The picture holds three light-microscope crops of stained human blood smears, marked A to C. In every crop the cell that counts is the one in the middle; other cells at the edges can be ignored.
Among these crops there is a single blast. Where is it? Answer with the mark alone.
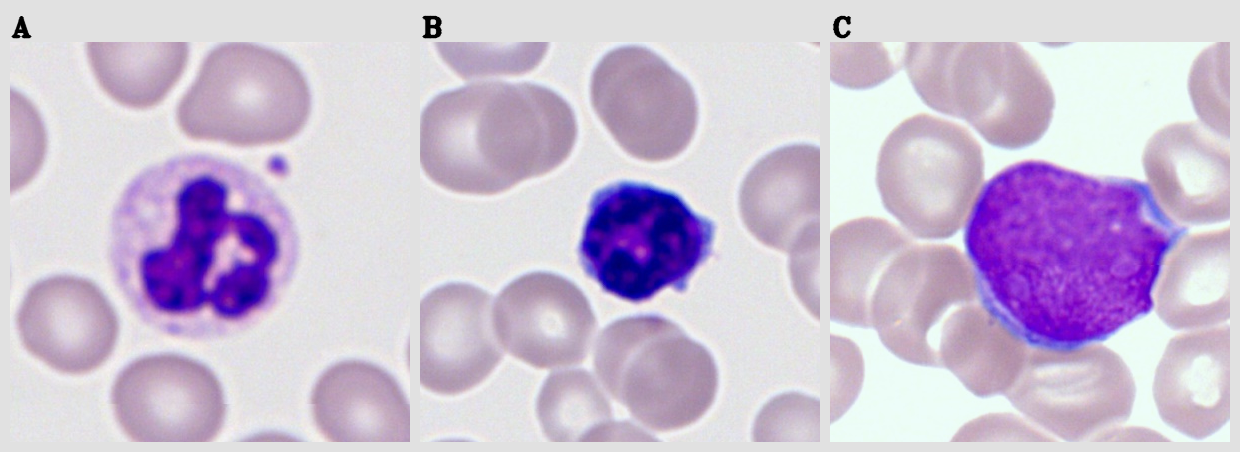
C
